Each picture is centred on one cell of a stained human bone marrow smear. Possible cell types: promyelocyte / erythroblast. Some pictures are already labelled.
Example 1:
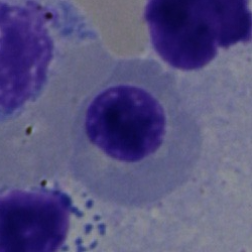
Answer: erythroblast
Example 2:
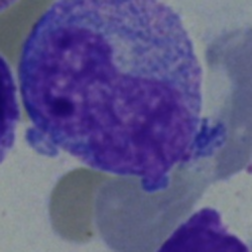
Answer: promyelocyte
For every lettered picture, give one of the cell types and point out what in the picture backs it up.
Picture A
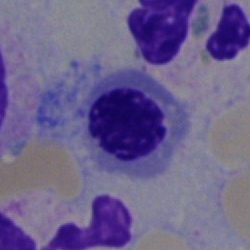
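erythroblast. The chromatin is dark purple and coarsely clumped, with small pale gaps between the clumps.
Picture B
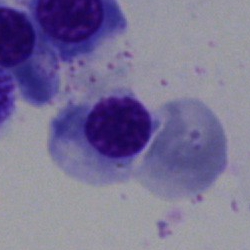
erythroblast. The chromatin is dark purple and coarsely clumped.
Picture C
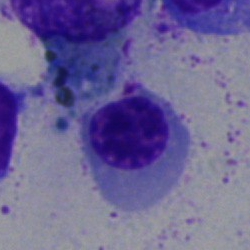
erythroblast. The chromatin is coarse and clumped.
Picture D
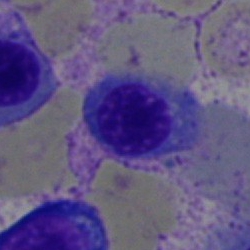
erythroblast. The chromatin is dark purple and coarsely clumped, with small paler spots between the clumps.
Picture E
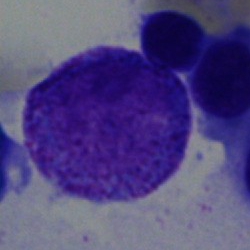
promyelocyte. Coarse purple granules are packed over the whole cell.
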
